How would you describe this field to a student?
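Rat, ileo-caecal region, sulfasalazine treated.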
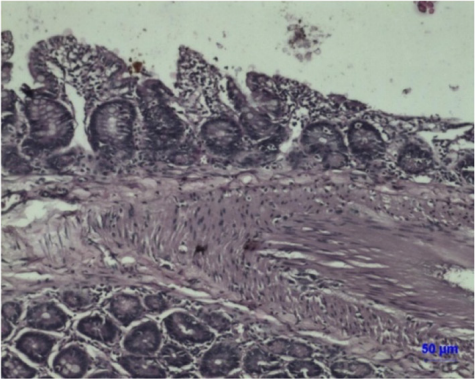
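Along the top, glands are cut across as rounded profiles lined by dark-nucleated epithelium, while the surface between them is ragged and irregular, with loose cellular lamina propria containing scattered small dark inflammatory cells. Beneath, a band of spindle-shaped smooth muscle cells with elongated nuclei runs across the field.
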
